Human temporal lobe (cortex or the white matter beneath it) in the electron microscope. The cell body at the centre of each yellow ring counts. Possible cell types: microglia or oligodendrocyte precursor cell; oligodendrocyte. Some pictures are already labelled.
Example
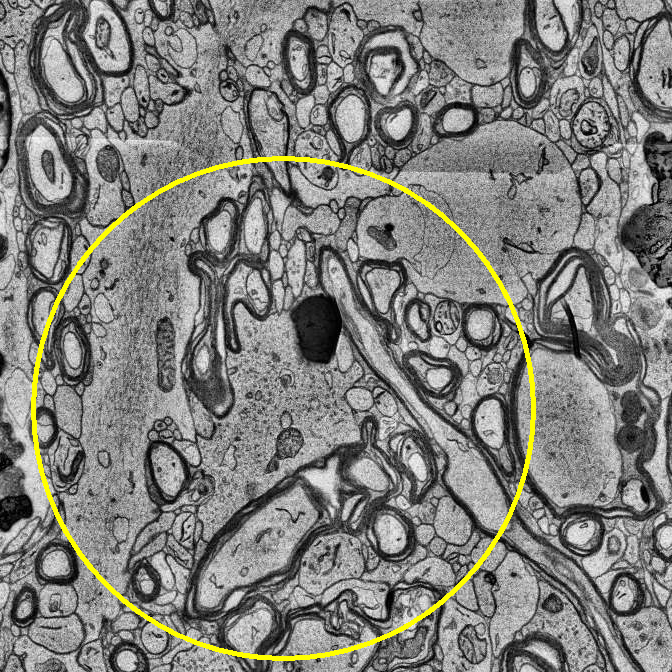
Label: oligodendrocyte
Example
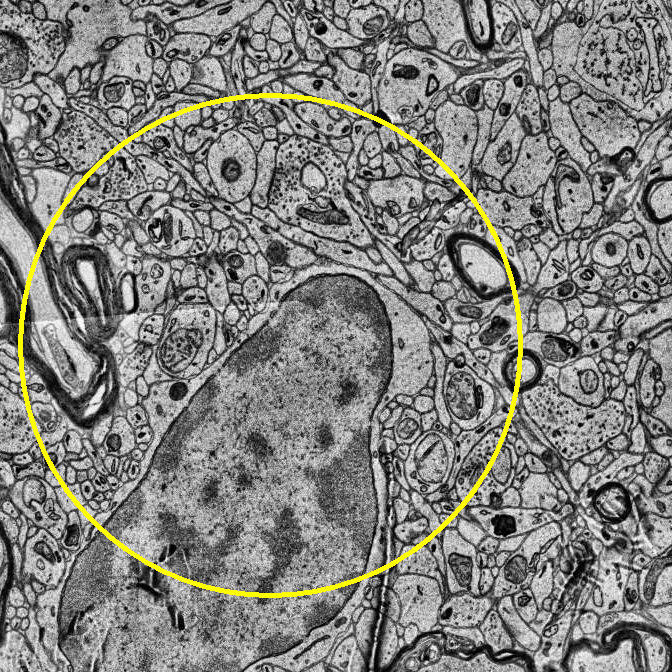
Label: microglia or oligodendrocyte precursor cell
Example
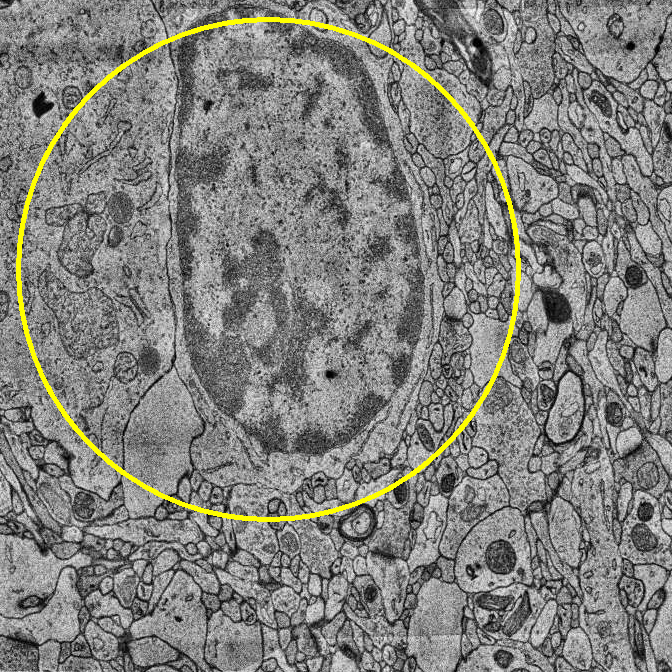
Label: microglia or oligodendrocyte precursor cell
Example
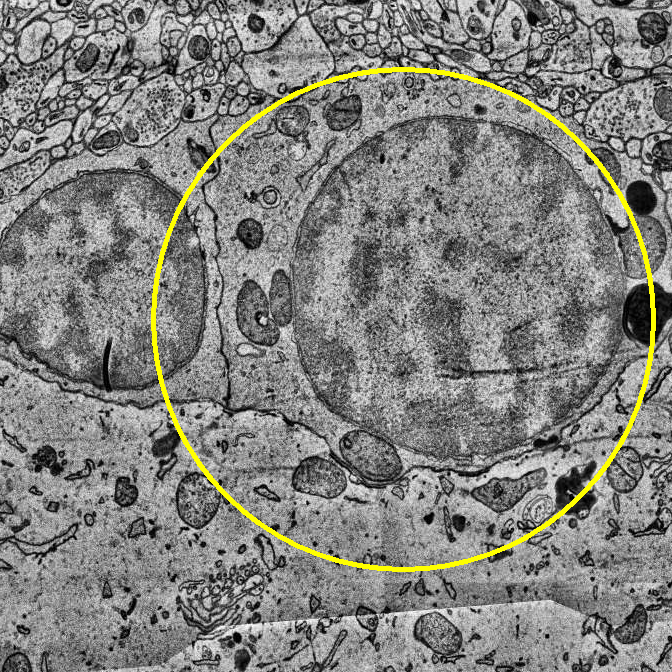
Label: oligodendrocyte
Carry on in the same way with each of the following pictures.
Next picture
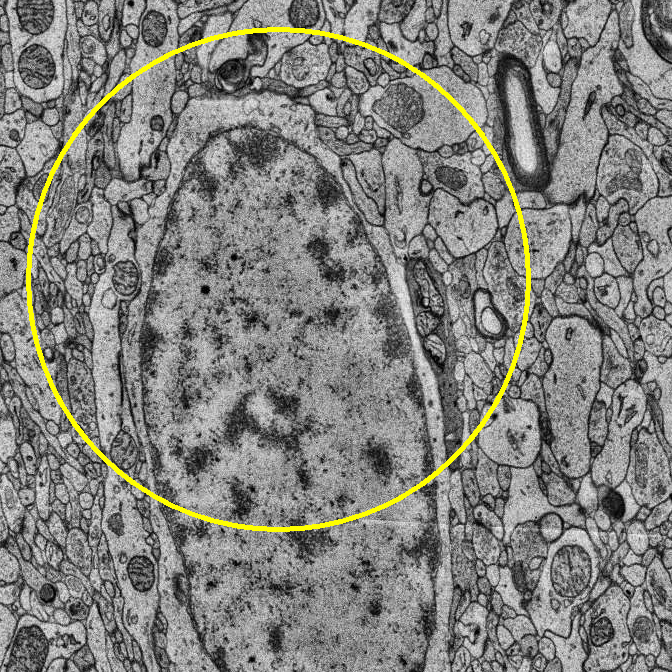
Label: microglia or oligodendrocyte precursor cell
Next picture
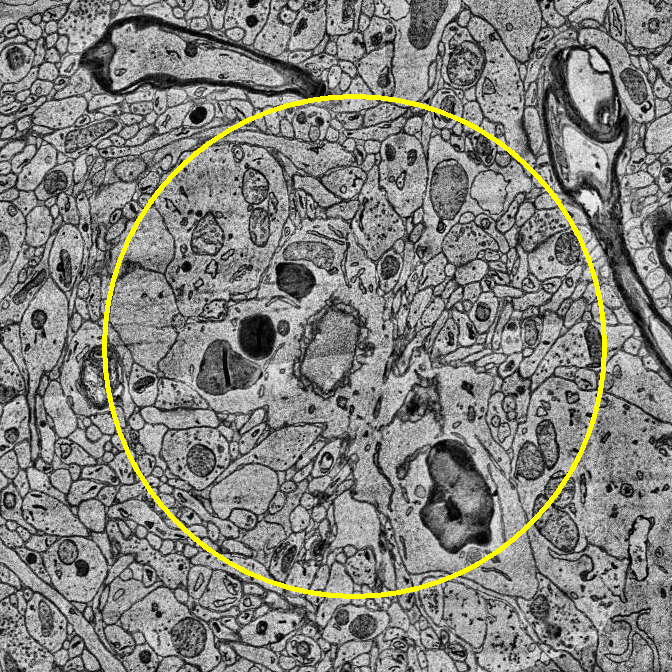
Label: microglia or oligodendrocyte precursor cell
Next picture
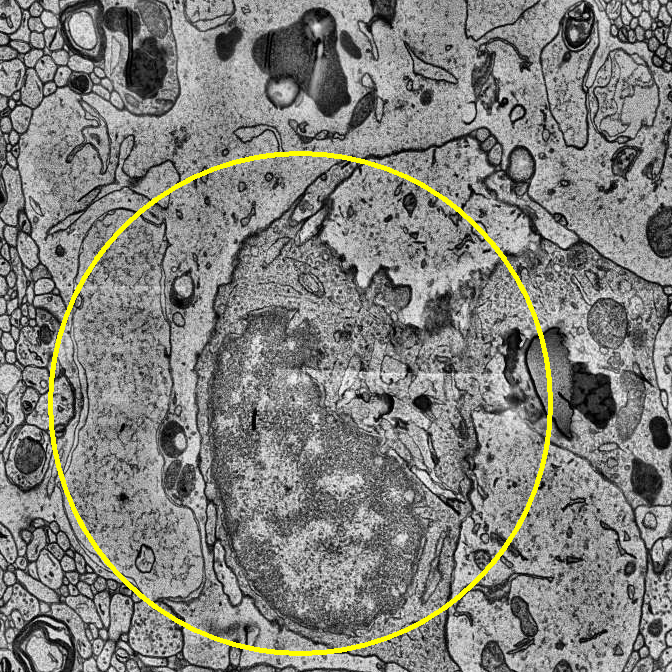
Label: oligodendrocyte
